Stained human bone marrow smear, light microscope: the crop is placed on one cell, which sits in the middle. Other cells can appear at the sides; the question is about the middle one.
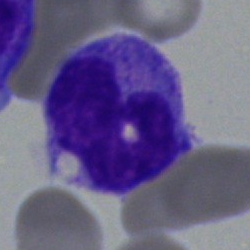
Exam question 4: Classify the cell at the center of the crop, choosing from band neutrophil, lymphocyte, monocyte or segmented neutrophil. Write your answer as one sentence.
Framed in the middle of the crop is a monocyte.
